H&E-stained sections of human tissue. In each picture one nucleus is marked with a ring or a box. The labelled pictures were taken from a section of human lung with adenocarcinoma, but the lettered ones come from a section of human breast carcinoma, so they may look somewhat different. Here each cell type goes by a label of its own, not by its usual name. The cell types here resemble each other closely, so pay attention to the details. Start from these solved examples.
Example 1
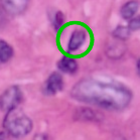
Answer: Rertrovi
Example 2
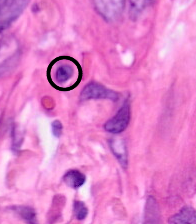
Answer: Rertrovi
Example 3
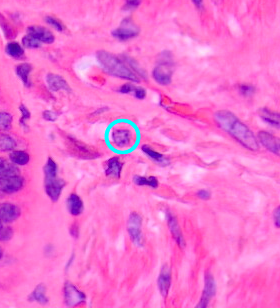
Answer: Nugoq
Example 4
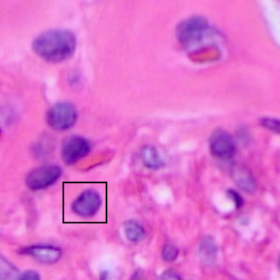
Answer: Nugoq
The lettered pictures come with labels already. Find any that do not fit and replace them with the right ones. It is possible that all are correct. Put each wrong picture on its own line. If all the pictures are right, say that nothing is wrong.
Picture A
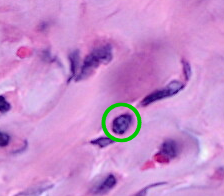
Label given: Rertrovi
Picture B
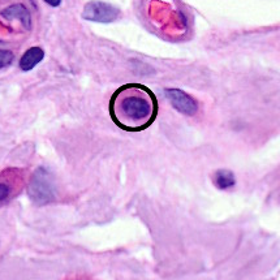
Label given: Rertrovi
A should be Nugoq, not Rertrovi
B should be Nugoq, not Rertrovi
